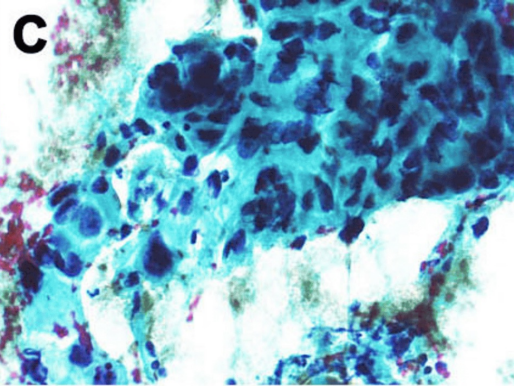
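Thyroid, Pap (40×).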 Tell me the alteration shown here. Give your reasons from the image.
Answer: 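A high nucleocytoplasmic ratio. Nuclei are dark with irregular outlines.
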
